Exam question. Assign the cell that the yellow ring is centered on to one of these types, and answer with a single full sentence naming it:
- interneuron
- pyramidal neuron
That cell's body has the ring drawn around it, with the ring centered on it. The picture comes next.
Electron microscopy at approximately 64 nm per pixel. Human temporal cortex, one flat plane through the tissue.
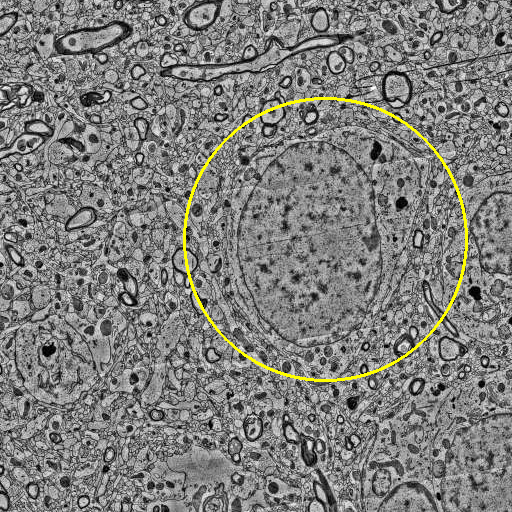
In the micrograph, the cell the yellow ring is centered on is a pyramidal neuron.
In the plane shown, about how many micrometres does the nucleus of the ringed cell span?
In this plane the nucleus spans approximately 14 by 9 micrometers.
